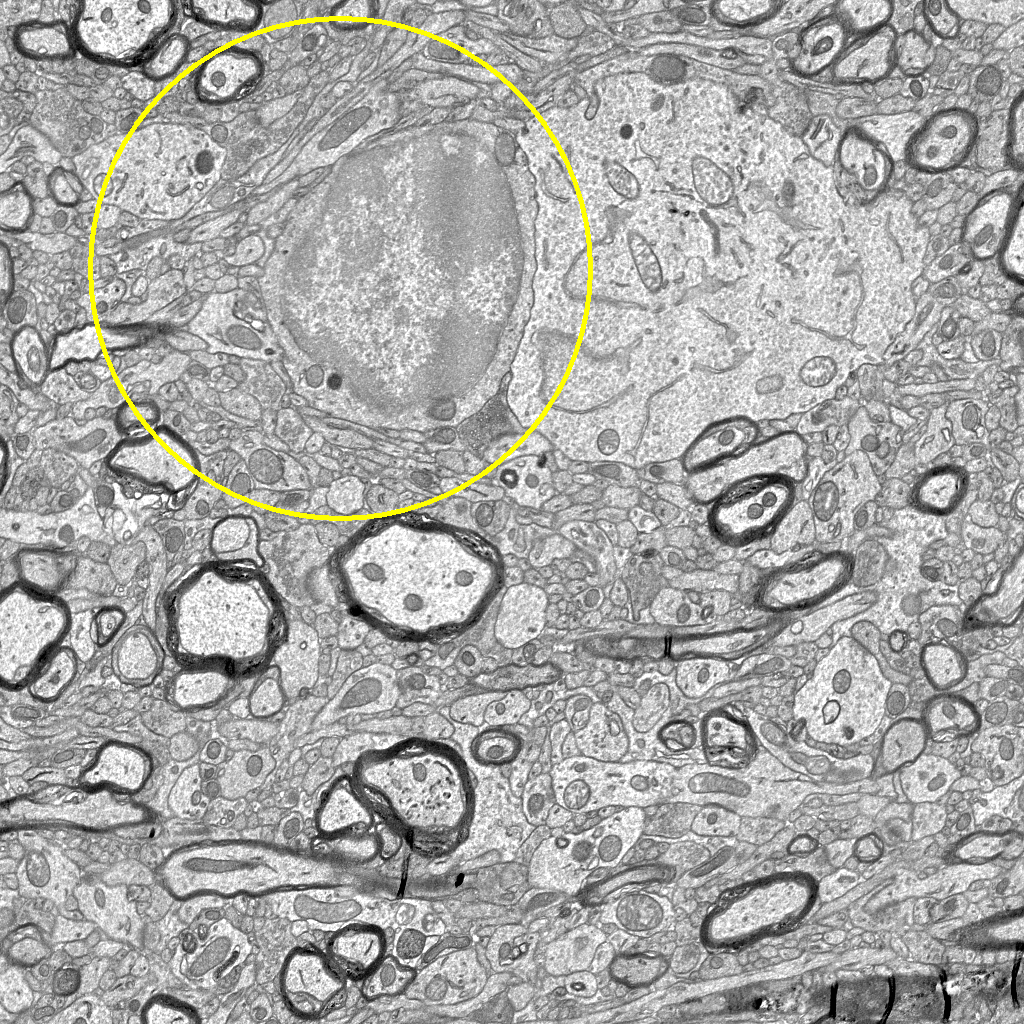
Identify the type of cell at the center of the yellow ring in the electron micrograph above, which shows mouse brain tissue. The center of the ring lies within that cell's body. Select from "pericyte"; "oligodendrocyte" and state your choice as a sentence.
The center of the yellow ring lies in the body of an oligodendrocyte.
